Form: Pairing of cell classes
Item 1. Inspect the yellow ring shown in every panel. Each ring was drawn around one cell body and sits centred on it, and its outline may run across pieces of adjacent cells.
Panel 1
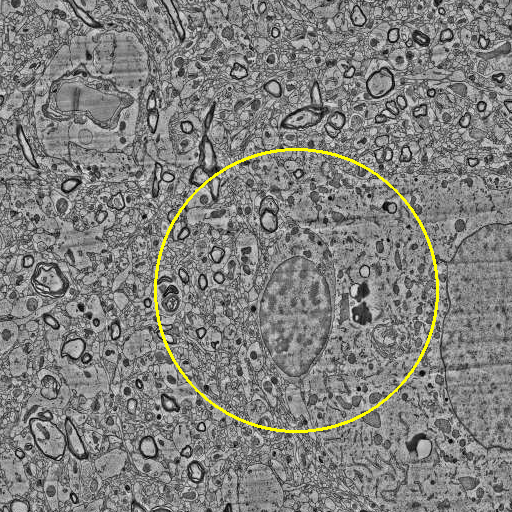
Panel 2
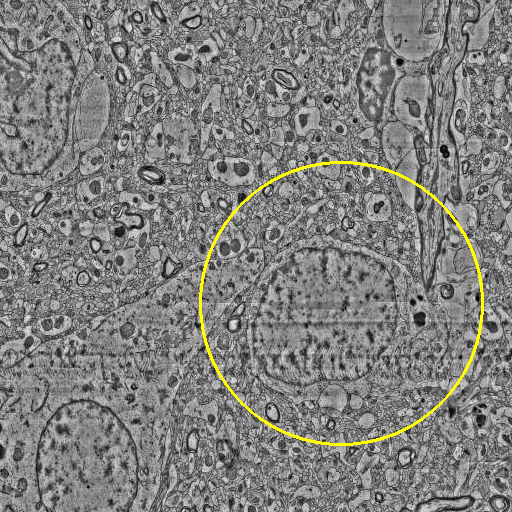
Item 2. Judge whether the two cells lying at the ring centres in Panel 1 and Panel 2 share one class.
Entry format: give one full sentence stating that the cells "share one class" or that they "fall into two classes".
The cells at the ring centres in Panel 1 and Panel 2 fall into two classes.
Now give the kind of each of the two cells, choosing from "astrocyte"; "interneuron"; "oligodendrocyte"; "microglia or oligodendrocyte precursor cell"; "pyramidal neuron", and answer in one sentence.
The cell in the first picture is an oligodendrocyte, and the cell in the second is an interneuron.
